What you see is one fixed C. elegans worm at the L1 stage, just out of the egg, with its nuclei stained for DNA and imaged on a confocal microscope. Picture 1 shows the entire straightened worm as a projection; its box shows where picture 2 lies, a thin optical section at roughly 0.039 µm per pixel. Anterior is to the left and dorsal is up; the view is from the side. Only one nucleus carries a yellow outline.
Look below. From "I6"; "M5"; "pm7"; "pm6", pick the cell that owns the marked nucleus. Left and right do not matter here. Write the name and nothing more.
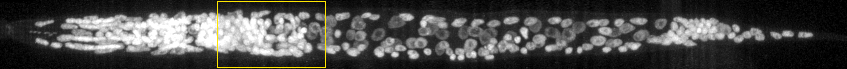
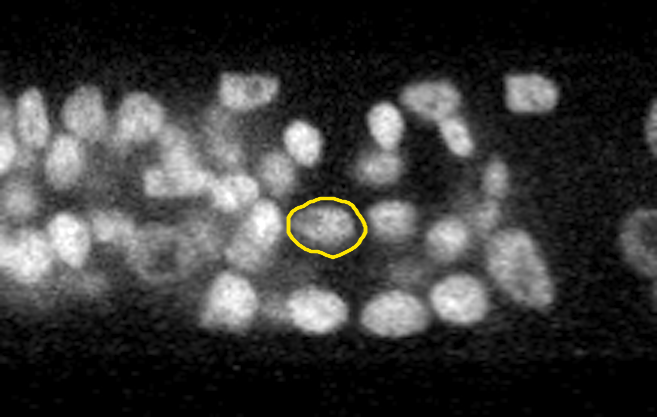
pm6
